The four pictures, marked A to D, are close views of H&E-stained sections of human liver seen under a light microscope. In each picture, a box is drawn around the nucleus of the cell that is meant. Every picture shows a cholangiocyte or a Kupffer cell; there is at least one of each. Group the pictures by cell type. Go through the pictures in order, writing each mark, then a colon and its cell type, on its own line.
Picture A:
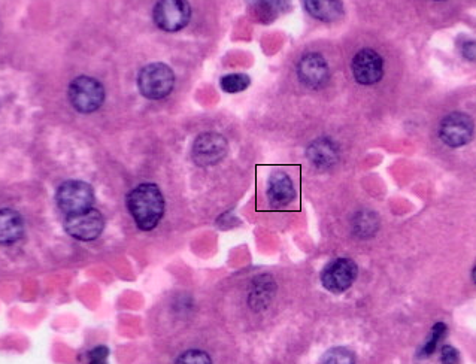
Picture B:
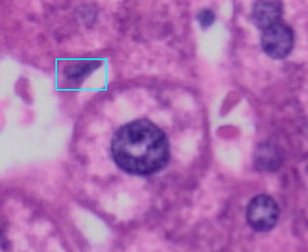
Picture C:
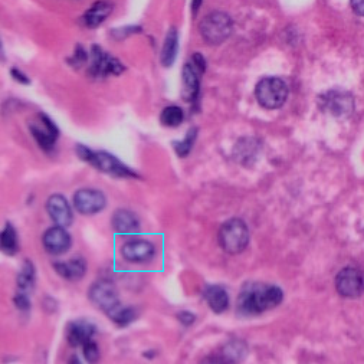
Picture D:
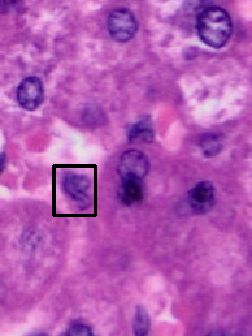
A: Kupffer cell
B: Kupffer cell
C: cholangiocyte
D: Kupffer cell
